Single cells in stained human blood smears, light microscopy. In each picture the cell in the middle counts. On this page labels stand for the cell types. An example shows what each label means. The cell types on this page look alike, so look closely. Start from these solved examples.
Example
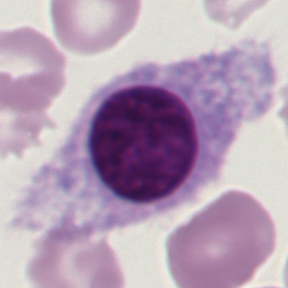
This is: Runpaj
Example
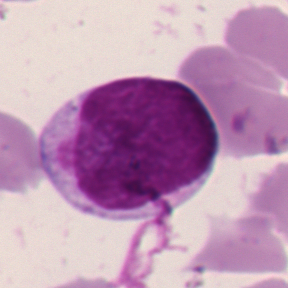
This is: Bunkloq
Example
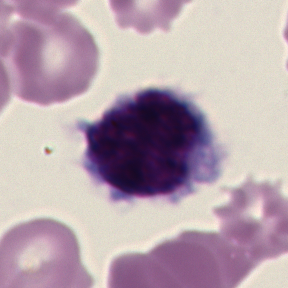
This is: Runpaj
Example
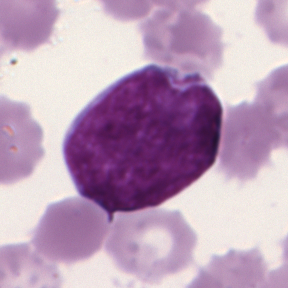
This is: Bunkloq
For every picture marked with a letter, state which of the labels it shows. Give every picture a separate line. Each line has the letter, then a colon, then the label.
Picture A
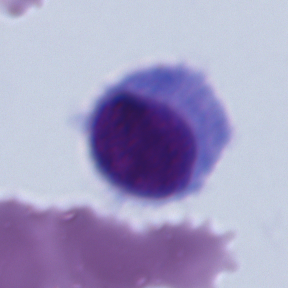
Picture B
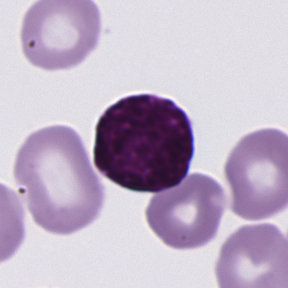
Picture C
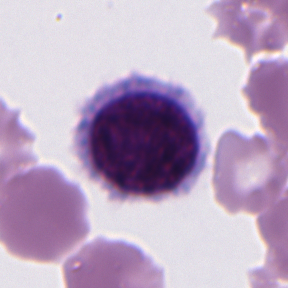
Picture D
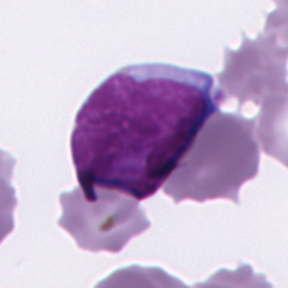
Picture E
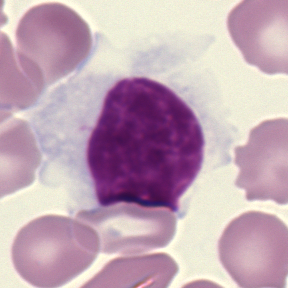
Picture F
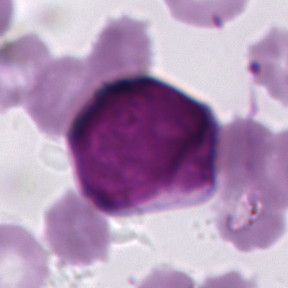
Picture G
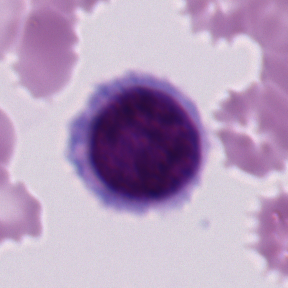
A: Runpaj
B: Bunkloq
C: Runpaj
D: Bunkloq
E: Runpaj
F: Bunkloq
G: Runpaj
